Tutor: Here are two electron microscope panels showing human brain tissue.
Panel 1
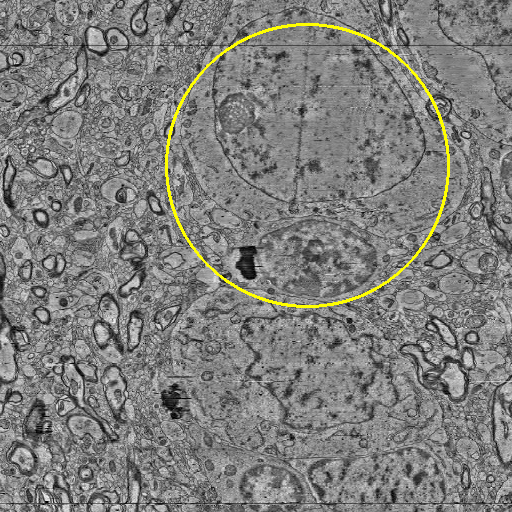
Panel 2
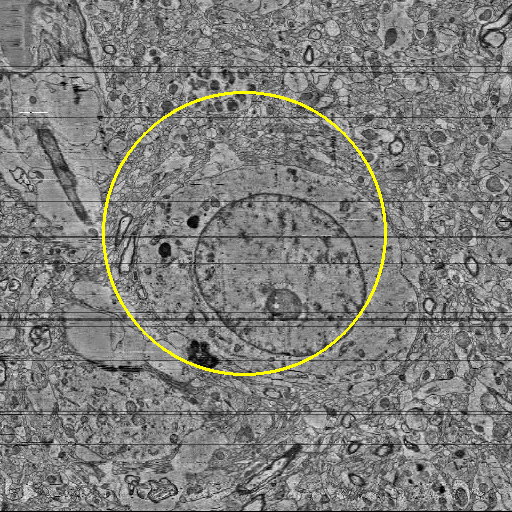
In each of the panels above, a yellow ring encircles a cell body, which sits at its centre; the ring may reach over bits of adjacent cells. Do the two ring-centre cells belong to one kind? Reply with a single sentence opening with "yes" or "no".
Yes, the two cells sitting at the ring centres in the panels belong to one kind.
